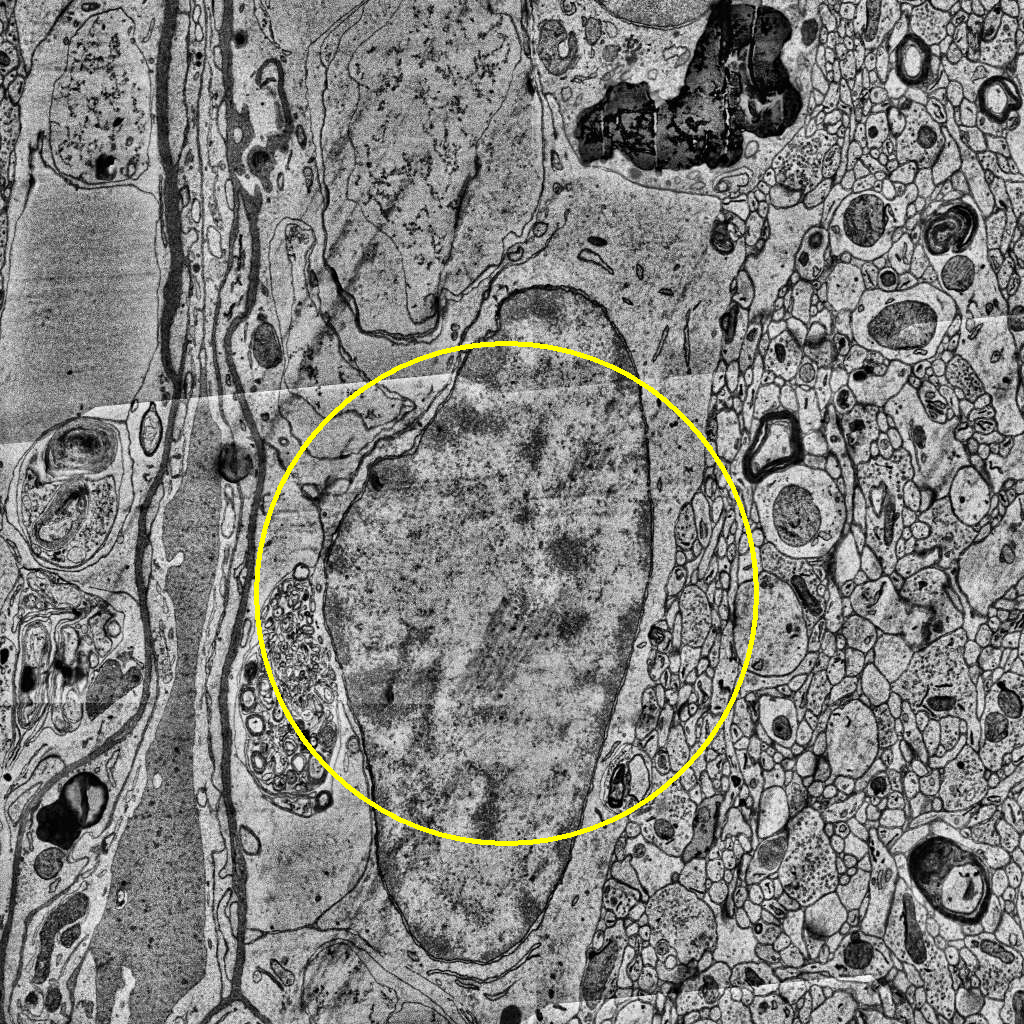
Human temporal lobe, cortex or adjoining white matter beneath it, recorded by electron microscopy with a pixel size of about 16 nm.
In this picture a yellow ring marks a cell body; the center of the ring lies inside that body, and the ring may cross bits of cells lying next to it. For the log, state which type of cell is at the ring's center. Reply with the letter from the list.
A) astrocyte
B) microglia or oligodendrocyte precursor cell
B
